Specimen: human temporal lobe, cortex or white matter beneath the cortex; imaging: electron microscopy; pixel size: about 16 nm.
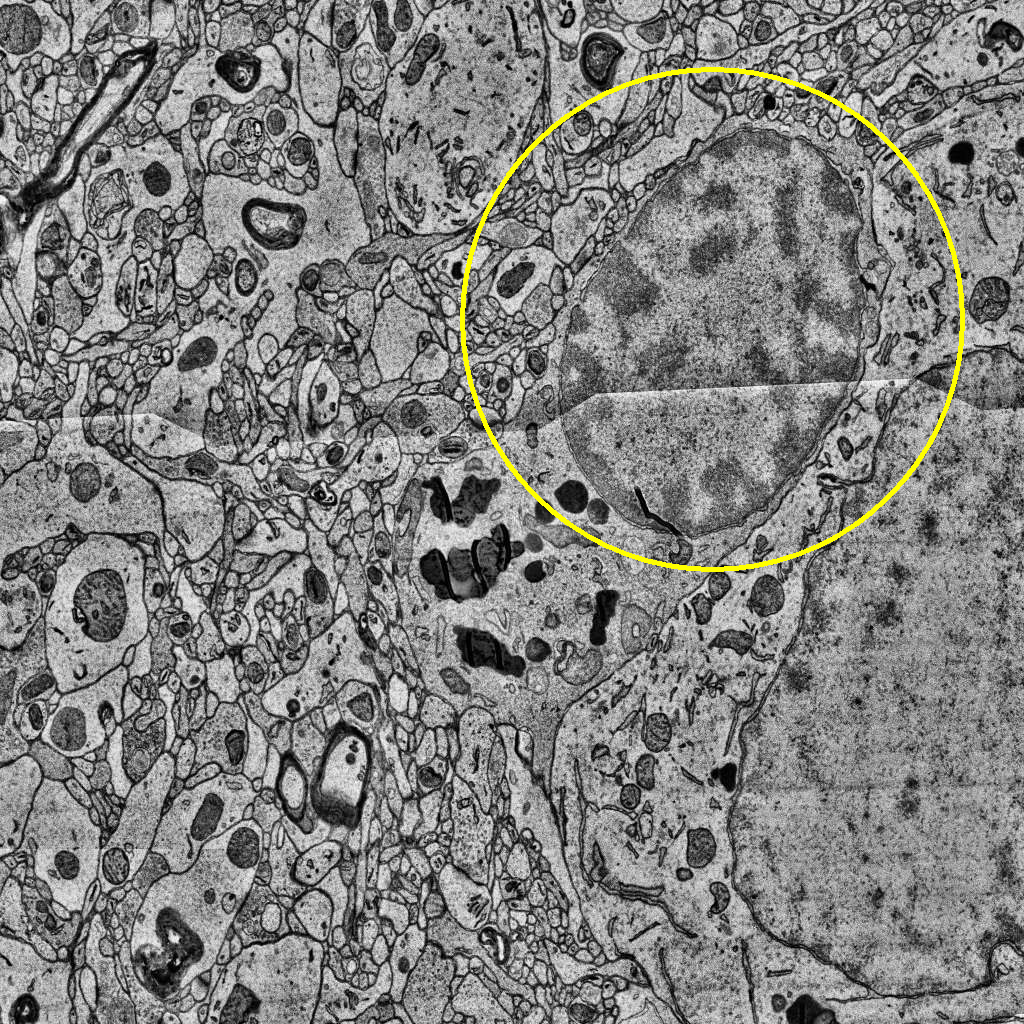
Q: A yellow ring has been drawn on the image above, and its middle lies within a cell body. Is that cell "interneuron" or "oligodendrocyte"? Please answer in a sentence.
The ring's middle lies in the cell body of an oligodendrocyte.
